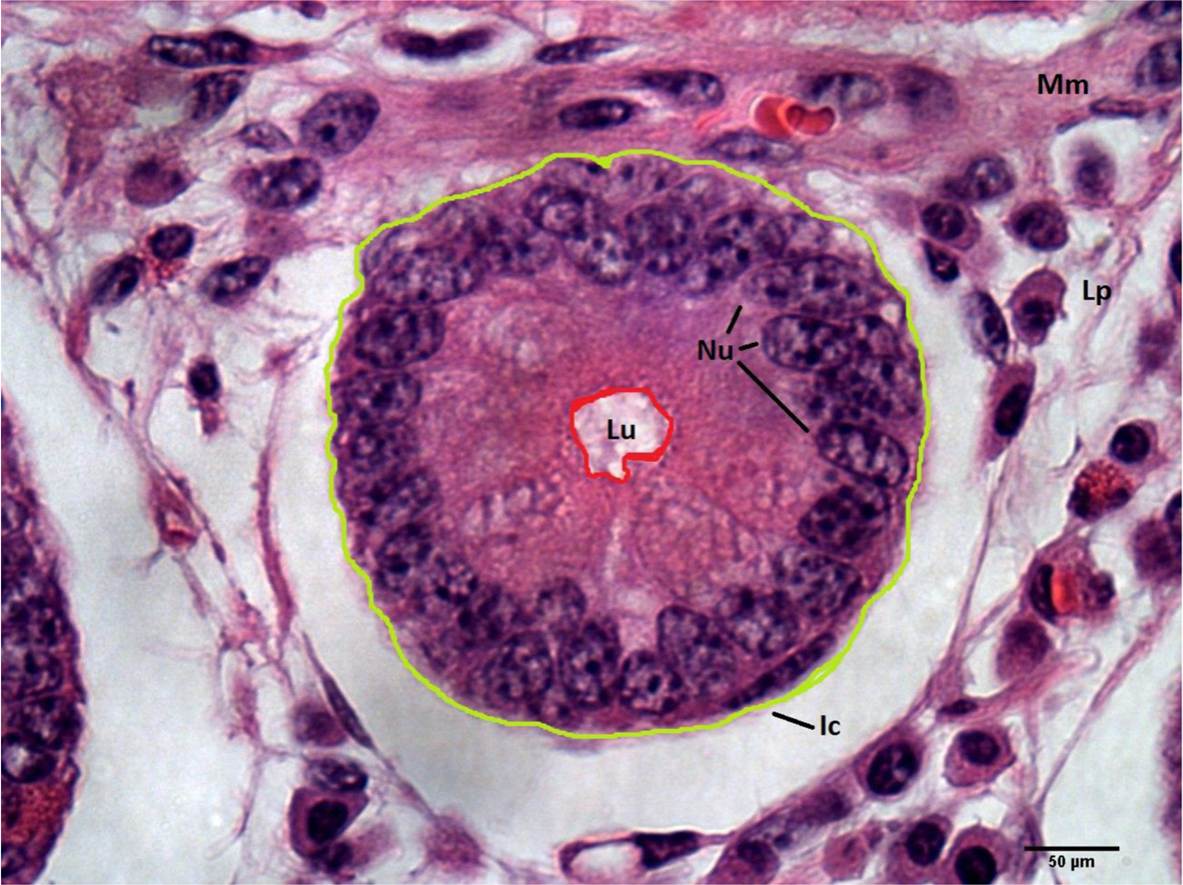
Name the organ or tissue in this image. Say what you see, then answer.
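A round gland profile of columnar epithelial cells sits in loose connective tissue. The gland's nuclei form a ring around a small central lumen. A band of pink spindle-shaped cells runs along the top of the field. On this evidence: intestinal mucosa.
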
